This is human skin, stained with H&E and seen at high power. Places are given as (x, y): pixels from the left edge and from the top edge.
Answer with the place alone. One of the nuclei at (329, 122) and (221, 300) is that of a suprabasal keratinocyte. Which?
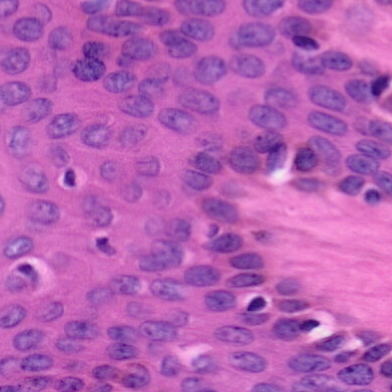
(329, 122)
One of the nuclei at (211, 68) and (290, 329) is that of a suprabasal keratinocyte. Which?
(211, 68)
